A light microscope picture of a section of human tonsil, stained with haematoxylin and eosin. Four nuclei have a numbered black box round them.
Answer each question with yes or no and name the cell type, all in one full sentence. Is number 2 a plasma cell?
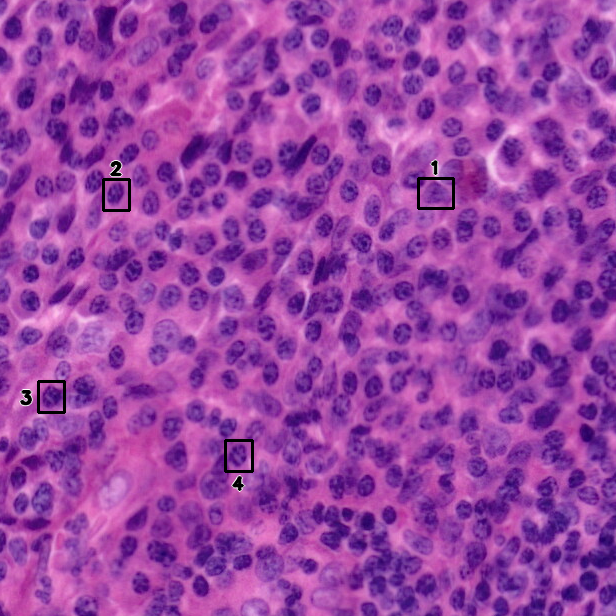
Yes, the cell distinguished by number 2 is a plasma cell.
